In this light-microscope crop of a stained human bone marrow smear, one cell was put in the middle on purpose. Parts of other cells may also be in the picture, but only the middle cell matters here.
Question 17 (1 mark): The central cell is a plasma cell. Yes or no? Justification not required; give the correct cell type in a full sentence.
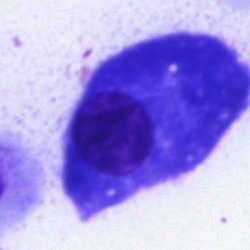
Yes, the cell sitting in the center is a plasma cell.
